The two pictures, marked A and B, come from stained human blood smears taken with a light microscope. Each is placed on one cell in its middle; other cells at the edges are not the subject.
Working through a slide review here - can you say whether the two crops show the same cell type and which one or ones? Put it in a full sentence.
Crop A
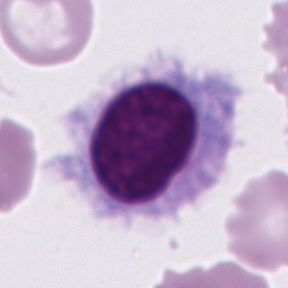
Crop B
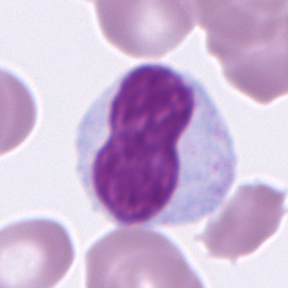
No, crop A contains a hairy cell, and crop B contains a large granular lymphocyte.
